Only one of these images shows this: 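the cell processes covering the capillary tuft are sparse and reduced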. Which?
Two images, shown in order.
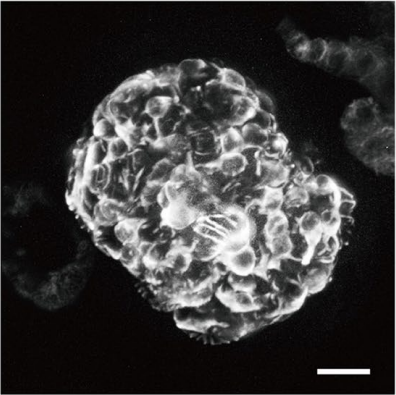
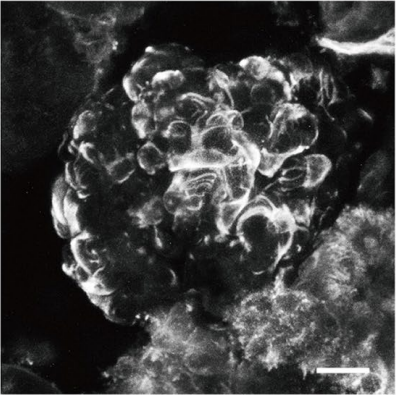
The second image.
